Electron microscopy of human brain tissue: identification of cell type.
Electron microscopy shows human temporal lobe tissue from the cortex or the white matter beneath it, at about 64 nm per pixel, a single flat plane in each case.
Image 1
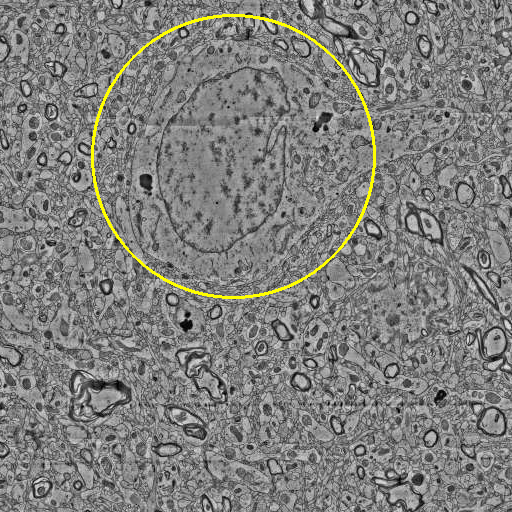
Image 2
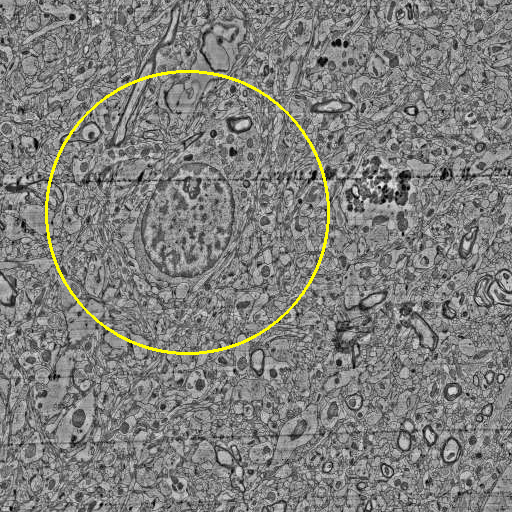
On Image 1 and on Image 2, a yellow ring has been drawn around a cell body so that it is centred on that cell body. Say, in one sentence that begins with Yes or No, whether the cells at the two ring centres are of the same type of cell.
No, the two cells are two separate types of cell.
